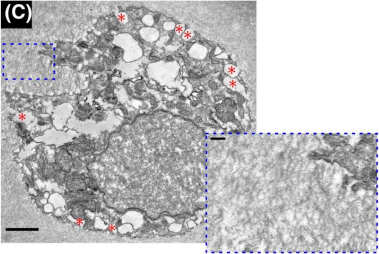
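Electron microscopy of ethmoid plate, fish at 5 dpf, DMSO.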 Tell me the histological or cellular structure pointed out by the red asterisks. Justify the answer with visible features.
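The asterisks sit at small pale round profiles at the edge of the cell. These profiles open onto or lie against the cell's outer membrane.
Vesicles fusing with outer membrane.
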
